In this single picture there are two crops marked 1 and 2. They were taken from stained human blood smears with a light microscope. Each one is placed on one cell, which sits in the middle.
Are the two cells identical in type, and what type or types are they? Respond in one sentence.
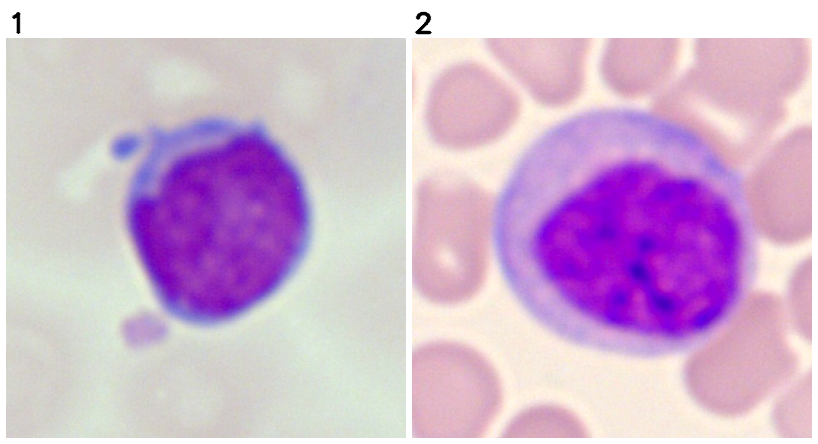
No, crop 1 is of a myeloblast, and crop 2 is of a monocyte.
